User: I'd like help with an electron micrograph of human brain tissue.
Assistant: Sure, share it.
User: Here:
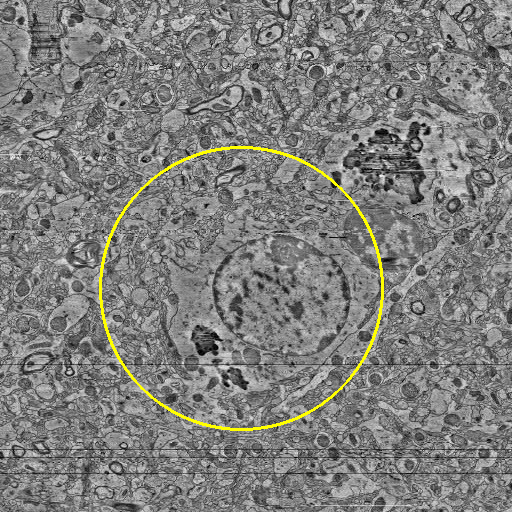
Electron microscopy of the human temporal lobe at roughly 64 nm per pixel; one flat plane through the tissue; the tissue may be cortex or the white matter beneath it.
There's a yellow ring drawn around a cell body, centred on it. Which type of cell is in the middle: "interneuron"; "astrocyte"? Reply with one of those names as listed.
astrocyte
